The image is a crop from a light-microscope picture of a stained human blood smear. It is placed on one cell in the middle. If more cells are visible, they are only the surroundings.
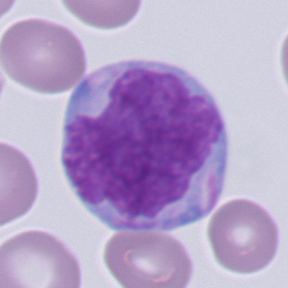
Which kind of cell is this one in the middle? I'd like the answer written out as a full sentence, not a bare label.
This crop has an atypical promyelocyte at its centre.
